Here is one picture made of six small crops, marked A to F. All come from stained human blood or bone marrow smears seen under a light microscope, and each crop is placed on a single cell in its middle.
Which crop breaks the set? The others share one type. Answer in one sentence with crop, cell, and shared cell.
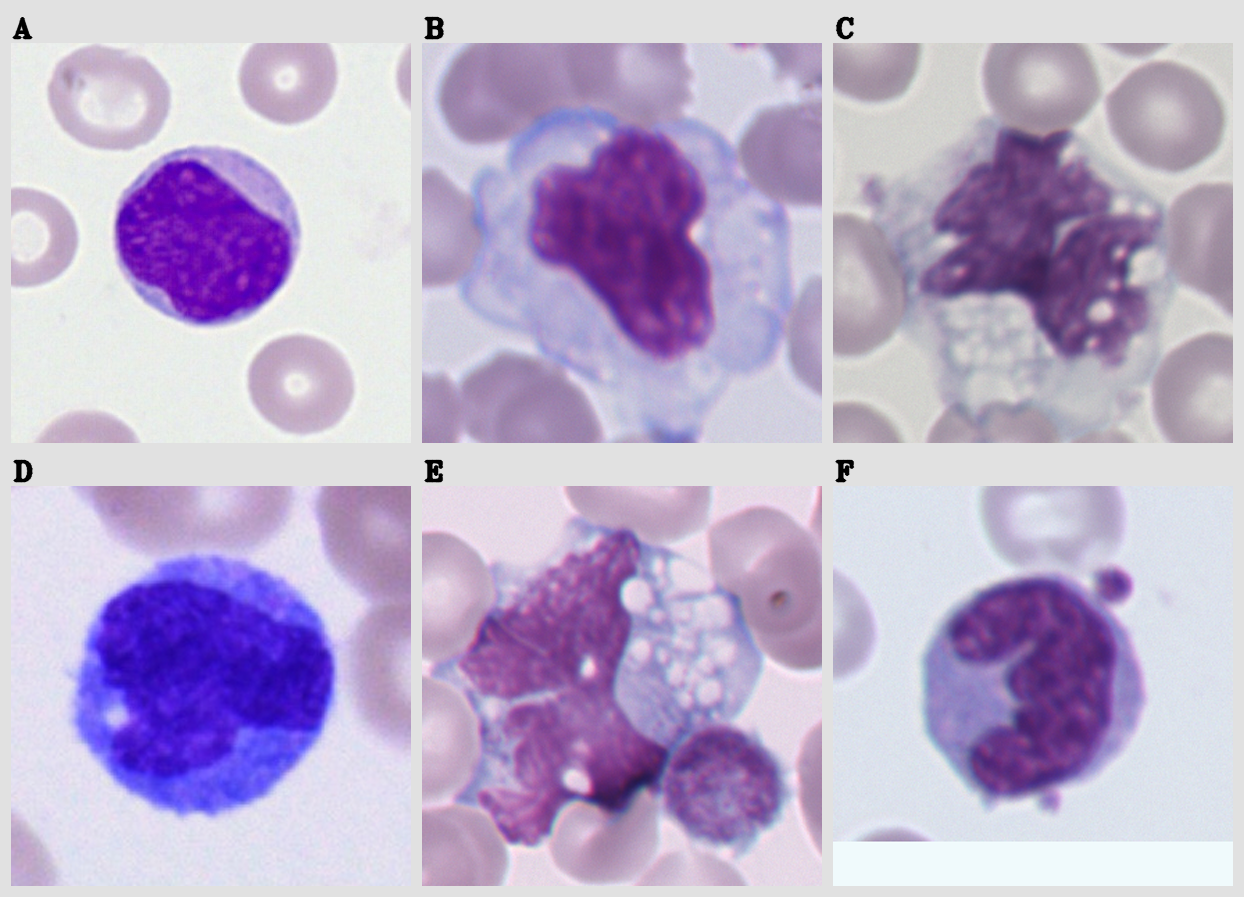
Crop A differs, its cell being a blast, whereas the other crops show monocytes.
